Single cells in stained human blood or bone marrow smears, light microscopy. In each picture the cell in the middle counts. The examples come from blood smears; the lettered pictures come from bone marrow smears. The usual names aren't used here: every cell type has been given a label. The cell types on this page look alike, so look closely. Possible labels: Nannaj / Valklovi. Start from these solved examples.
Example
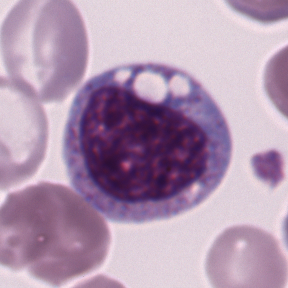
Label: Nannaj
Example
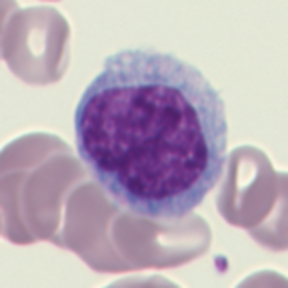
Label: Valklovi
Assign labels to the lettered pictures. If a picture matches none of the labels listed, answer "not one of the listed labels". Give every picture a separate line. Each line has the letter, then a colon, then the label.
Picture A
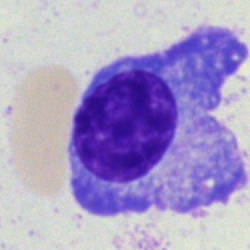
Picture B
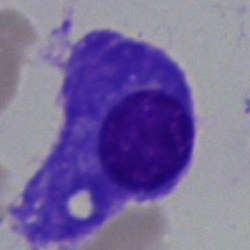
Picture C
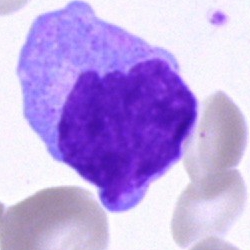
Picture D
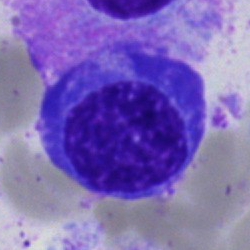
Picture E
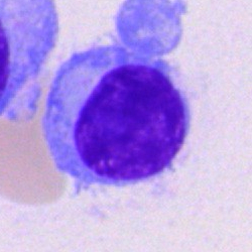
A: not one of the listed labels
B: not one of the listed labels
C: Valklovi
D: not one of the listed labels
E: not one of the listed labels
